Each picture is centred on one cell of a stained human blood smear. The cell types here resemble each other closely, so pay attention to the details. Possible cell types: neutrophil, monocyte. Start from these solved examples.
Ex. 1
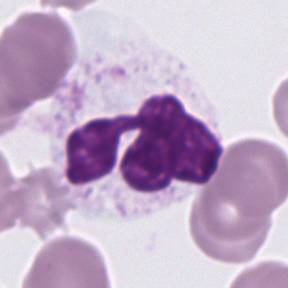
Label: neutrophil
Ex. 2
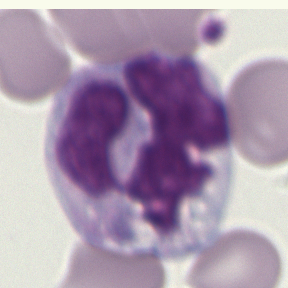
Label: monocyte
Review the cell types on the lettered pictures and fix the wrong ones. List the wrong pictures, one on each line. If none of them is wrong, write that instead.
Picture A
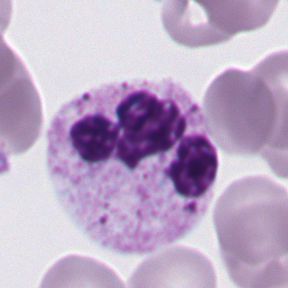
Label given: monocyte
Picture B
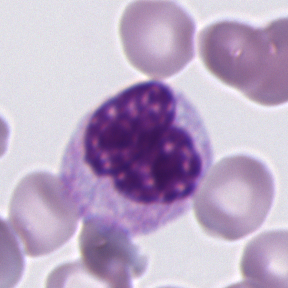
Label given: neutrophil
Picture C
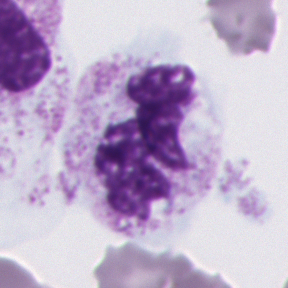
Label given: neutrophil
A: change monocyte to neutrophil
